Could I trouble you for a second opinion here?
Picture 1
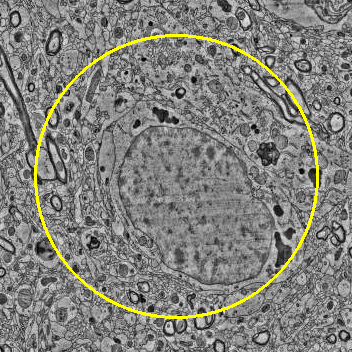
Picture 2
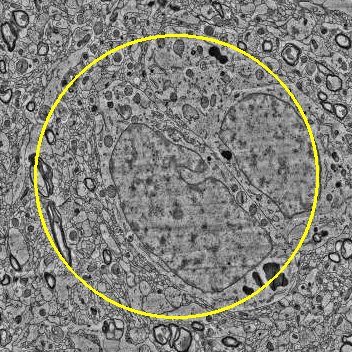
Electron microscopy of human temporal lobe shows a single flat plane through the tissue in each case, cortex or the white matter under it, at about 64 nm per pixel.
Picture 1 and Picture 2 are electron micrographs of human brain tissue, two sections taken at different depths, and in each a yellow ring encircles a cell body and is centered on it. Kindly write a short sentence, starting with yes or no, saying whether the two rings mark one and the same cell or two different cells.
Yes, the same cell turns up inside each of the two rings.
